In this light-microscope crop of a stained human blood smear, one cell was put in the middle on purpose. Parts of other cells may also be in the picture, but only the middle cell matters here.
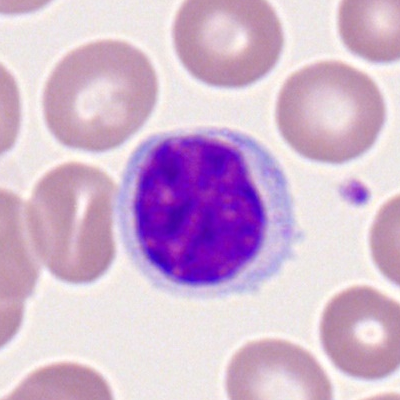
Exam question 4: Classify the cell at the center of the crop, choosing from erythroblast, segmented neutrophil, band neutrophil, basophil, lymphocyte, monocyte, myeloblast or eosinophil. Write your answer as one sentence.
The cell centred in this crop is categorized as a lymphocyte.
